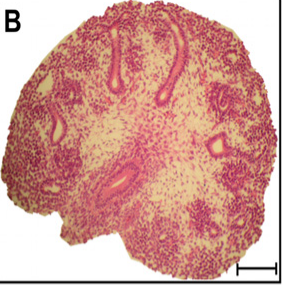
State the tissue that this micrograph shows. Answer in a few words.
metanephros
